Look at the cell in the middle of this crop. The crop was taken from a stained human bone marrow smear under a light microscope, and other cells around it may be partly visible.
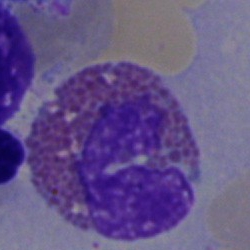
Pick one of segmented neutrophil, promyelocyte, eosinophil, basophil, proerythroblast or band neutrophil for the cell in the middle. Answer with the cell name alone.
eosinophil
